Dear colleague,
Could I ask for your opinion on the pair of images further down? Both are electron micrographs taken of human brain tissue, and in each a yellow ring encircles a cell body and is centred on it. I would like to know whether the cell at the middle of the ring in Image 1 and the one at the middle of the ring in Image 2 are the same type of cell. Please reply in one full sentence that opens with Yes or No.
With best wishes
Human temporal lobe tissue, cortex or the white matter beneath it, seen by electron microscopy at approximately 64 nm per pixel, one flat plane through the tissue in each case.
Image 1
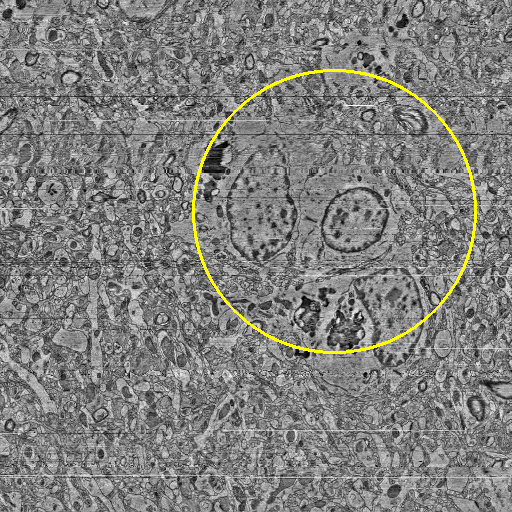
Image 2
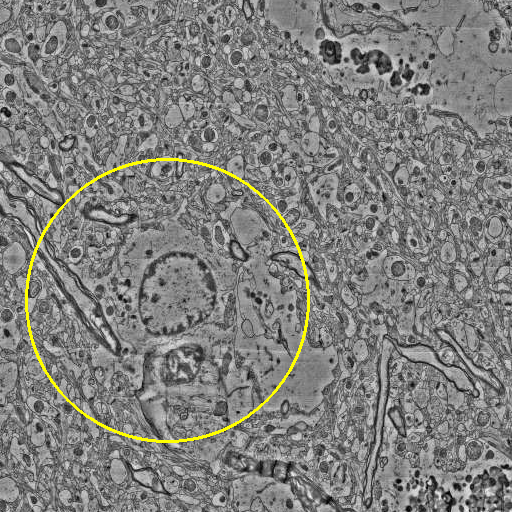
Yes, the cells at the ring centres in Image 1 and Image 2 are of one type.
